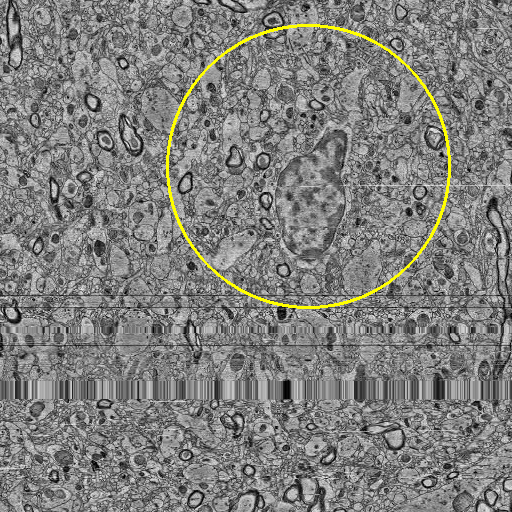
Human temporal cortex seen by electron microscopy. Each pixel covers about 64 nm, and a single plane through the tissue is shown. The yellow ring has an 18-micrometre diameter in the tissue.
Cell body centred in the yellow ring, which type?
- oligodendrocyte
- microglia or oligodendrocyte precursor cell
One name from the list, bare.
microglia or oligodendrocyte precursor cell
